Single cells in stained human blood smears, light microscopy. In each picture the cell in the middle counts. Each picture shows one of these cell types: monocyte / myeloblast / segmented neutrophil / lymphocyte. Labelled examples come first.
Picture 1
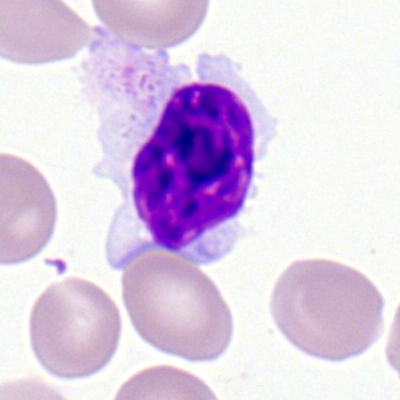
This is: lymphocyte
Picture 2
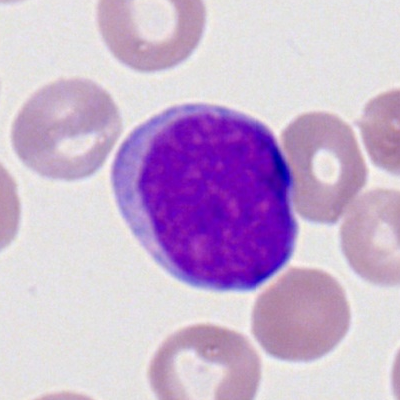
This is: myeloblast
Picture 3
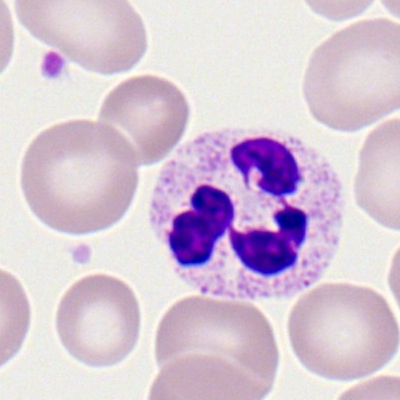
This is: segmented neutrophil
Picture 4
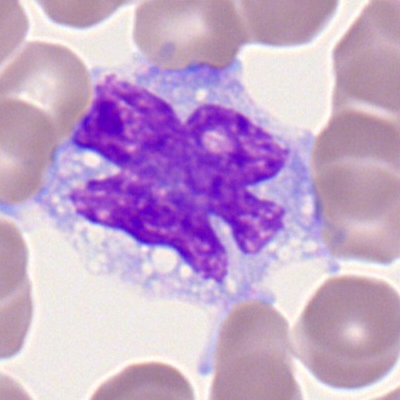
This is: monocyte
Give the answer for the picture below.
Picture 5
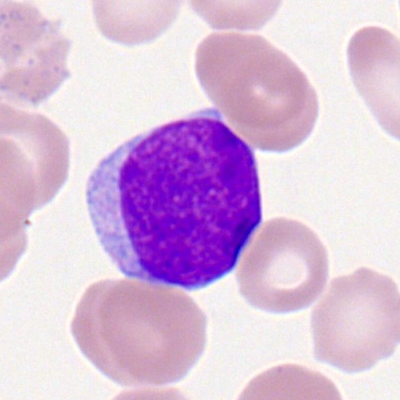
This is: myeloblast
